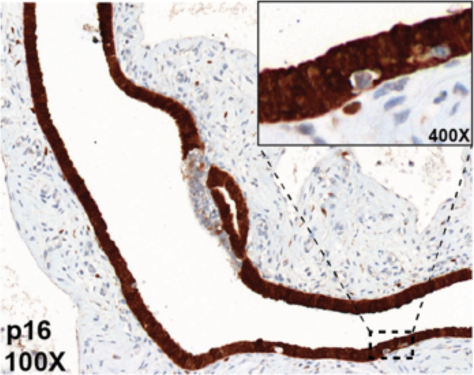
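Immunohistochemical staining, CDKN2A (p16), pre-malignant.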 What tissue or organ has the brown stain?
fallopian tube epithelial region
